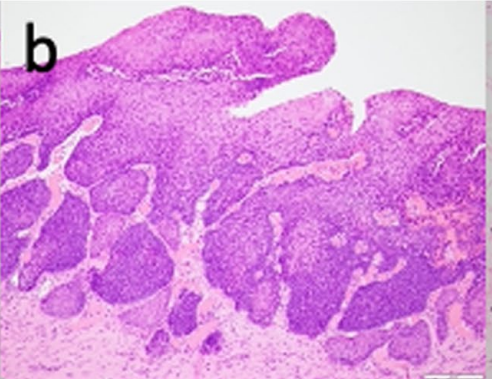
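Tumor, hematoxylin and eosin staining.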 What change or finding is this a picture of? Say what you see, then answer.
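Irregular nests of densely purple epithelial cells extend downward from the surface layer. The nests are surrounded by pale pink stroma.
Conclusion: invasion into the stroma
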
